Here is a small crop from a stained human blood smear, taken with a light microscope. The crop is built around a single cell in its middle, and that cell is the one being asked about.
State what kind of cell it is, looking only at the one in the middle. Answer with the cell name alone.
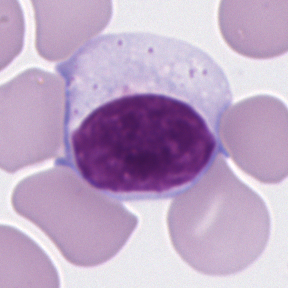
large granular lymphocyte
